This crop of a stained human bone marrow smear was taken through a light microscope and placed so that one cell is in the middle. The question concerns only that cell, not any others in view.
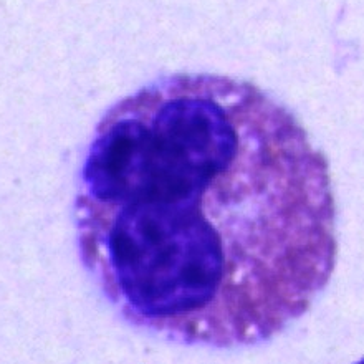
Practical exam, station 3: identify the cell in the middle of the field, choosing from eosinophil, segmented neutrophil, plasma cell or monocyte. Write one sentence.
Framed in the middle of the crop is an eosinophil.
